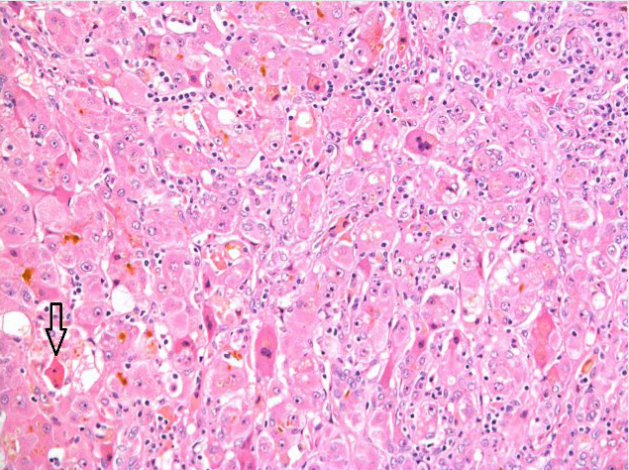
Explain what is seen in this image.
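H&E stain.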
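This is liver showing acute hepatitis, with hepatocytes in disordered, irregular plates and scattered lymphocytes between them. The hepatocytes vary in size and shape, with pink to pale cytoplasm and round nuclei, some swollen and others shrunken. A small, rounded, intensely eosinophilic shrunken cell body stands out among them. Yellow-brown pigment deposits are scattered through the lobule.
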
